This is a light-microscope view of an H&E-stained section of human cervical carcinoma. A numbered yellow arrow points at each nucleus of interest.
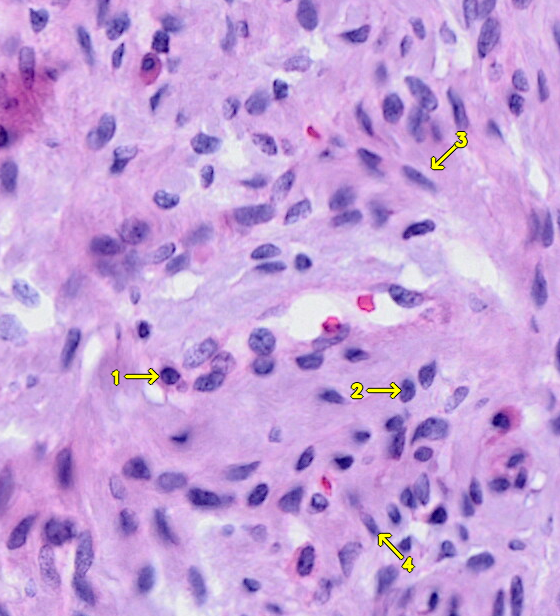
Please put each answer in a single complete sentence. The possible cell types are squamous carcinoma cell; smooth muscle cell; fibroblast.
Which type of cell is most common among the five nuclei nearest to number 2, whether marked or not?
Around number 2, most of the five nearest nuclei are those of fibroblasts.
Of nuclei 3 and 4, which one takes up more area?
Of the two, number 3 is bigger and takes up about 2.5 times the area of number 4.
